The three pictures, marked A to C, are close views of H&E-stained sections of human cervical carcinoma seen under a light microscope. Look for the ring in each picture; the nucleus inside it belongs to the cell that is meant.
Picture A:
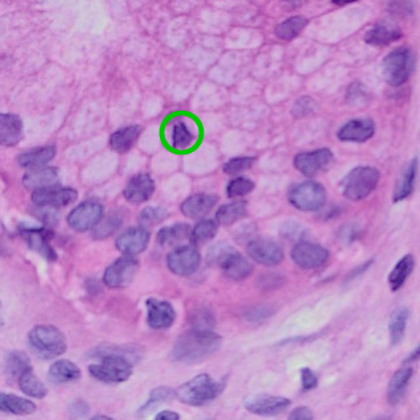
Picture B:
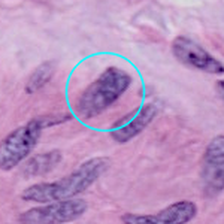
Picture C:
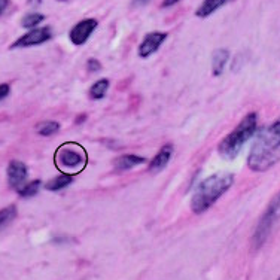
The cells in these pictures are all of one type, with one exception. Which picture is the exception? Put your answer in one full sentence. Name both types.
Picture A differs, because its cell is a secretory epithelial cell and the rest are smooth muscle cells.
